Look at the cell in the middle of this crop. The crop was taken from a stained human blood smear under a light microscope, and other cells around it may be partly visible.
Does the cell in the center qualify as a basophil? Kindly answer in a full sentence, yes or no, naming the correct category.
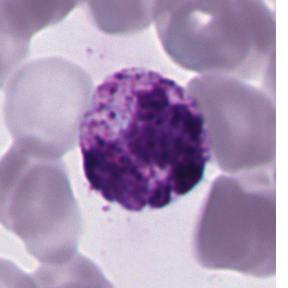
Yes, the cell shown at the crop's centre is a basophil.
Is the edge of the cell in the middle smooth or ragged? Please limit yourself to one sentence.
An uneven margin is present, with either ragged stretches or outward projections.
